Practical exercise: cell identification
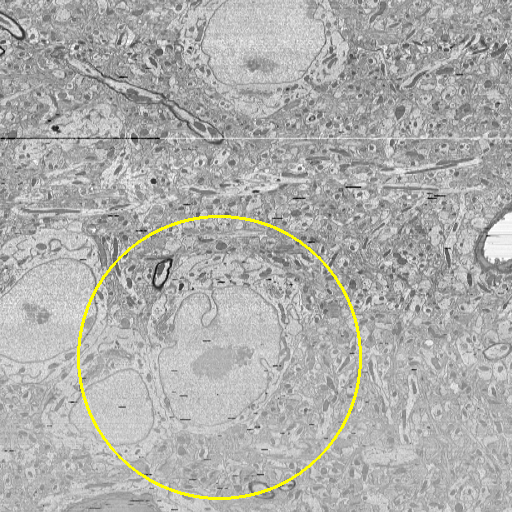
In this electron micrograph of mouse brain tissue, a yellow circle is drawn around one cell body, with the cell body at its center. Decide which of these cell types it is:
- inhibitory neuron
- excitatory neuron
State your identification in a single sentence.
The ringed cell is an inhibitory neuron.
